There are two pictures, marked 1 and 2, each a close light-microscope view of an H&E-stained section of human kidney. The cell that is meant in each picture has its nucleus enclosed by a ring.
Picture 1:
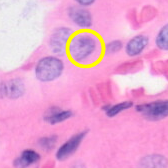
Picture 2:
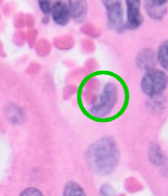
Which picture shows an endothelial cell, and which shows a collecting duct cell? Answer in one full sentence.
In picture 1 the cell is a collecting duct cell; in picture 2, an endothelial cell.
